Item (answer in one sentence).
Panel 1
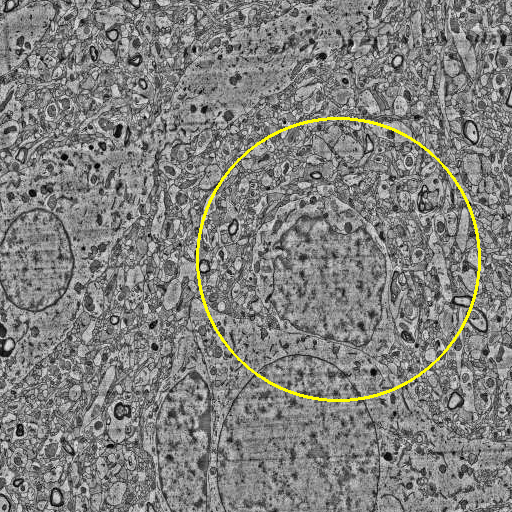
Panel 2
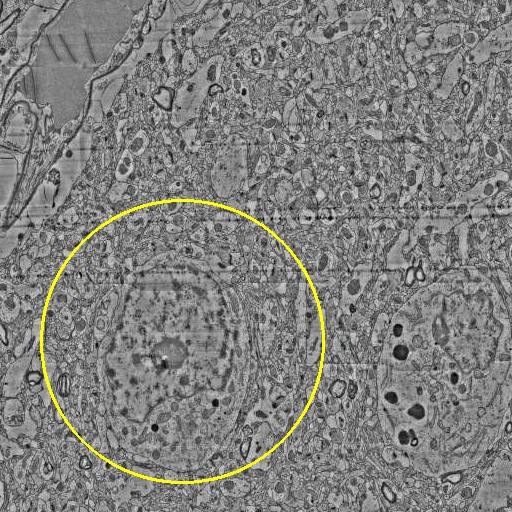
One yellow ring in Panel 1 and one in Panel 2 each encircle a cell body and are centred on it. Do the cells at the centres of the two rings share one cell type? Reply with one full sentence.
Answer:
Yes, Panel 1 and Panel 2 show cells of one type at the centres of their rings.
